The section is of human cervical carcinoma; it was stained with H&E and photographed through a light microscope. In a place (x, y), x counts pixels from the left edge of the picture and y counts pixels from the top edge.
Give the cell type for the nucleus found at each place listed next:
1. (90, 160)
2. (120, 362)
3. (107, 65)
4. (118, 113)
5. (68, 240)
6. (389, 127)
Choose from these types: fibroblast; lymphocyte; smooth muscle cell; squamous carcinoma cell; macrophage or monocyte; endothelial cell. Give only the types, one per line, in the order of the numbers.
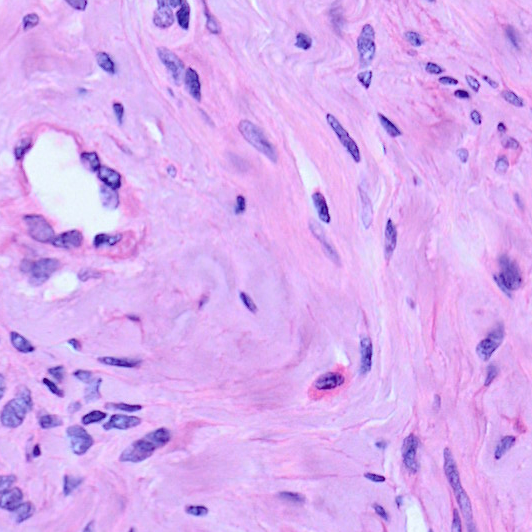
endothelial cell
fibroblast
fibroblast
fibroblast
endothelial cell
fibroblast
